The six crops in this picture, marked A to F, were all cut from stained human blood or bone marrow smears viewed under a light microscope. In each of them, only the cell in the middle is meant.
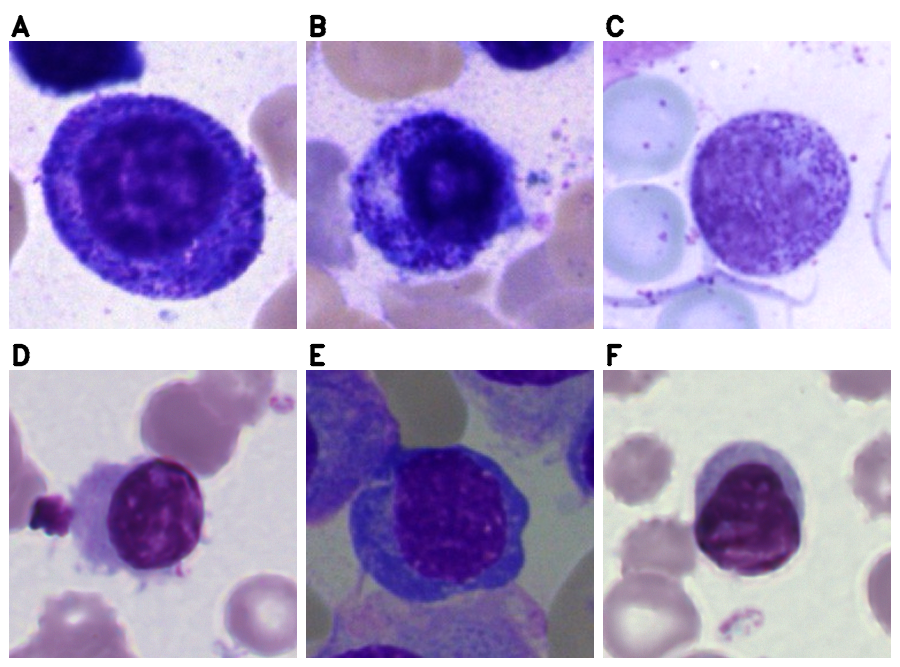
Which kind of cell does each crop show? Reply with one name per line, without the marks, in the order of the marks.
promyelocyte
promyelocyte
promyelocyte
plasma cell
plasma cell
plasma cell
